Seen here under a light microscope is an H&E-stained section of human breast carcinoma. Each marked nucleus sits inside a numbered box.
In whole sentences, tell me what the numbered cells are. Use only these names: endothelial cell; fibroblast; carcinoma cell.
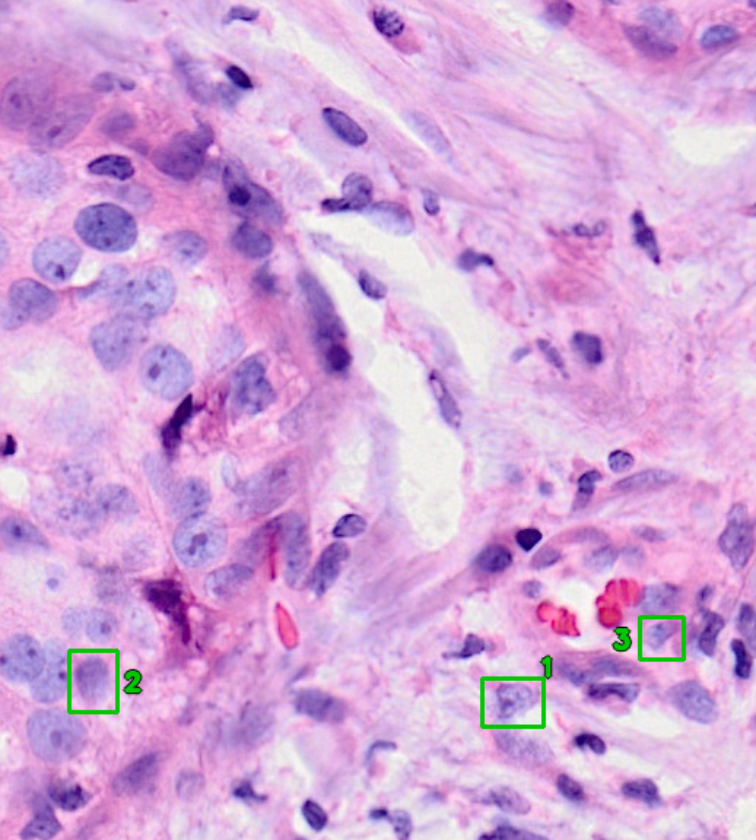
Cell 1 is a fibroblast, cell 2 is a carcinoma cell and cell 3 is an endothelial cell.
